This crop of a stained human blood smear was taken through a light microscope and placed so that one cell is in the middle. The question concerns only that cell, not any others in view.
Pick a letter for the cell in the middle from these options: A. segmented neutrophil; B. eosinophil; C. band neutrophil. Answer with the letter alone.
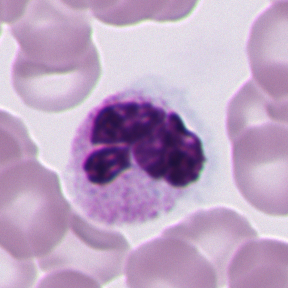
A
